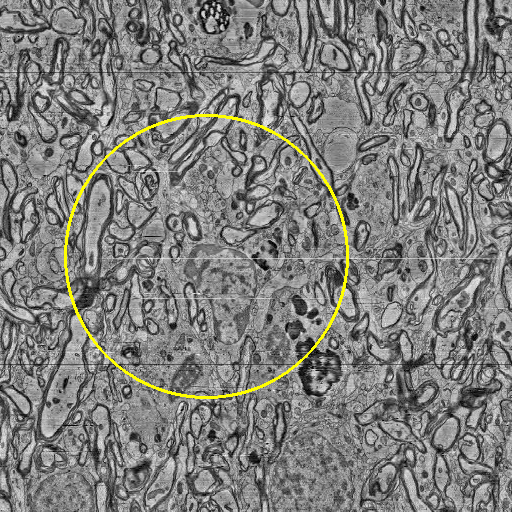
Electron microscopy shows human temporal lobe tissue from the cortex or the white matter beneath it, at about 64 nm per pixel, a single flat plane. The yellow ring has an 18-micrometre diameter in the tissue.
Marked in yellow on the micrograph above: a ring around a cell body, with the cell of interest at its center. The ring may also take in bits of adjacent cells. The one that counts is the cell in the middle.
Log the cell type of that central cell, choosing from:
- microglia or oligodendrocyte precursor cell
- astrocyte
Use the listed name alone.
microglia or oligodendrocyte precursor cell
